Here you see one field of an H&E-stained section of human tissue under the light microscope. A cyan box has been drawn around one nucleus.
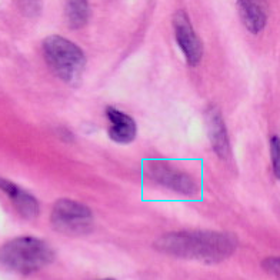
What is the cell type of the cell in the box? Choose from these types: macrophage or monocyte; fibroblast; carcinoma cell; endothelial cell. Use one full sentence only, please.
The correct response here is that the cell in the box is a fibroblast.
